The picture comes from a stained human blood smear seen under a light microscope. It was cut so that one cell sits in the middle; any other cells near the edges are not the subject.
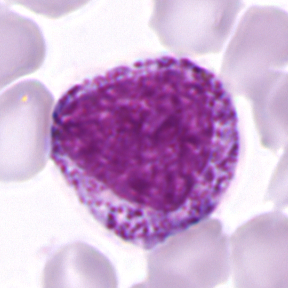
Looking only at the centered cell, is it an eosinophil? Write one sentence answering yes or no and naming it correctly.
No, it is a myelocyte that sits in the middle, not an eosinophil.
